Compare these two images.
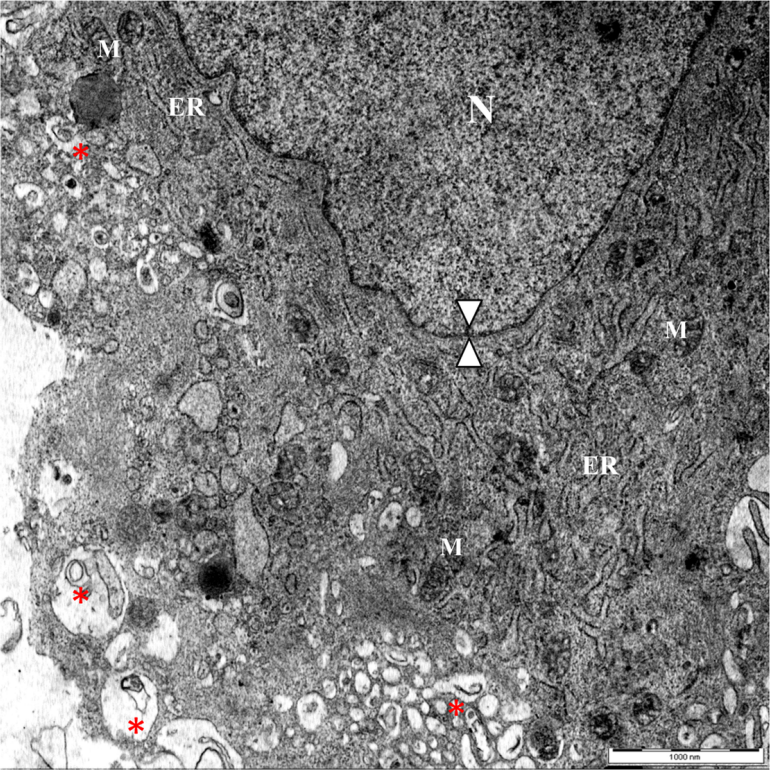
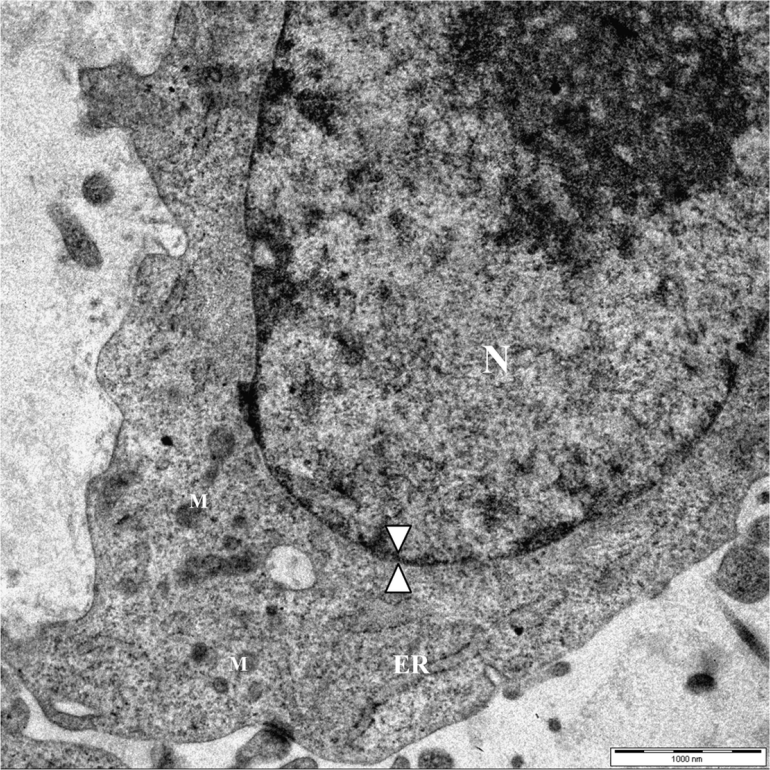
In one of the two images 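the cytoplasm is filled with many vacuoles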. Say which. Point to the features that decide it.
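Second image: the cytoplasm is fairly uniform with only a single small clear vacuole. First image: numerous clear vacuoles, many with membranous contents, crowd the cytoplasm.
Conclusion: the first image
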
